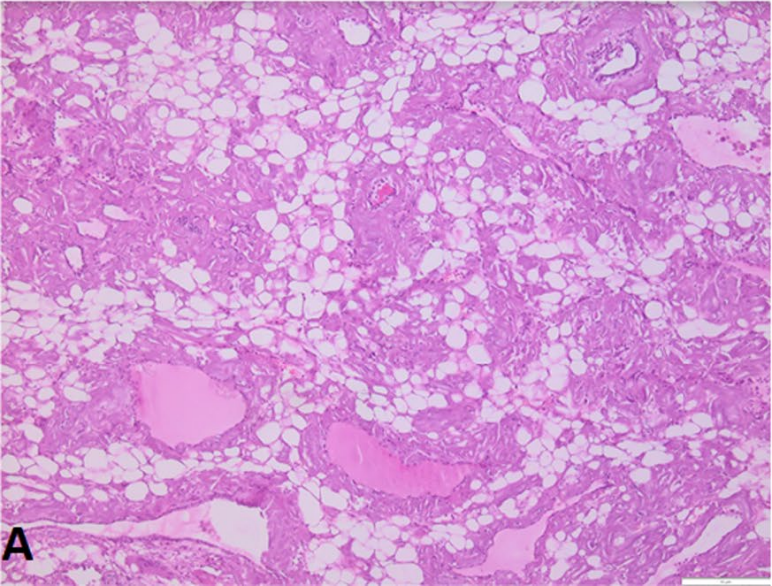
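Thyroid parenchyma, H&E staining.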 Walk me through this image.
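The adipocytes appear as clear rounded spaces, grouped in sheets and bands that run through the pink deposit. Several larger spaces filled with homogeneous pink material are seen, especially towards the lower part of the field. Small vessels are scattered throughout, and cell nuclei are sparse overall.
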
